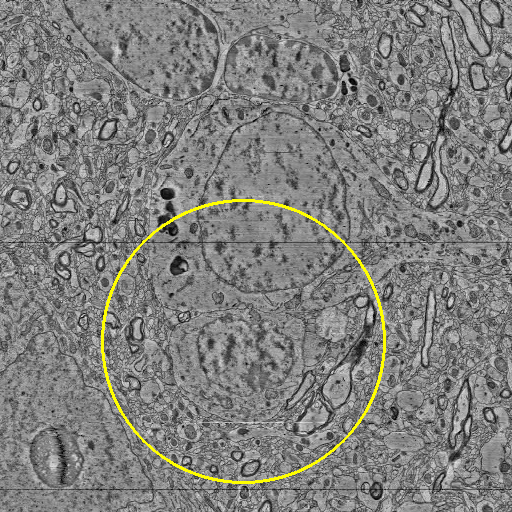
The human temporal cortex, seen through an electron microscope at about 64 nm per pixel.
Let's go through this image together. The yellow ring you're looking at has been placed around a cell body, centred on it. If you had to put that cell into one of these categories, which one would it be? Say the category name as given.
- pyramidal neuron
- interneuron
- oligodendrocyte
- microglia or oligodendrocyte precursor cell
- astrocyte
interneuron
